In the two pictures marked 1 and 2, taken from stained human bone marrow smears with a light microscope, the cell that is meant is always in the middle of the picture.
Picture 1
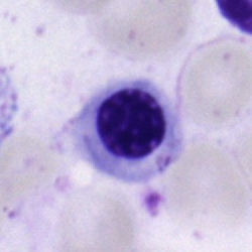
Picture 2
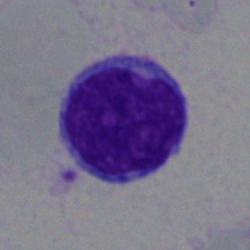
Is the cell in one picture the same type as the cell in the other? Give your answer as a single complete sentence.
No. Picture 1 shows an erythroblast, but picture 2 shows a lymphocyte.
